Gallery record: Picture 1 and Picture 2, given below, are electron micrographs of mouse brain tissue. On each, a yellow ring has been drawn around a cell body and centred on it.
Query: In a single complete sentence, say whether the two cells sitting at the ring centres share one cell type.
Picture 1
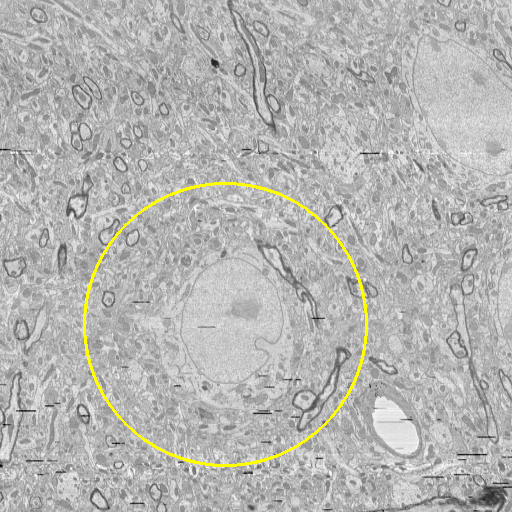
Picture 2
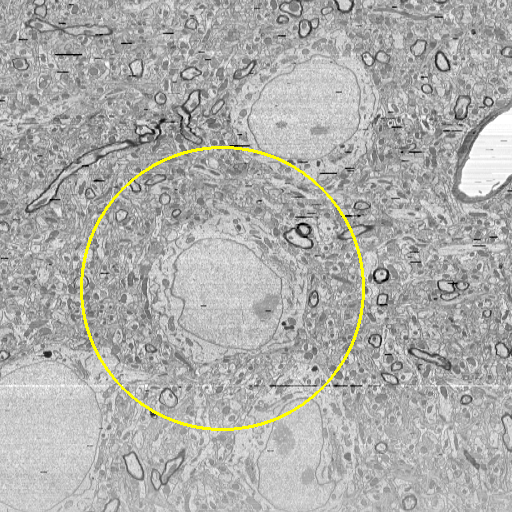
Yes, in both pictures the cell at the ring's centre is of one and the same type.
